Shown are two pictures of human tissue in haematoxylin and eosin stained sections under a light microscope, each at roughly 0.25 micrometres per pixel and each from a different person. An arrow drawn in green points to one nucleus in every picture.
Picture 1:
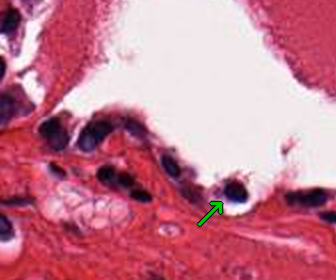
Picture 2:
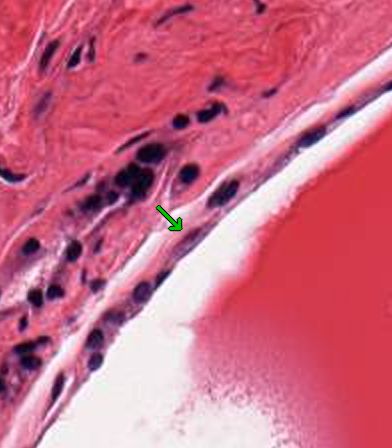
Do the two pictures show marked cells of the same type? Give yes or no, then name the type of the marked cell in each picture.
Yes, both are thyroid follicular cells.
